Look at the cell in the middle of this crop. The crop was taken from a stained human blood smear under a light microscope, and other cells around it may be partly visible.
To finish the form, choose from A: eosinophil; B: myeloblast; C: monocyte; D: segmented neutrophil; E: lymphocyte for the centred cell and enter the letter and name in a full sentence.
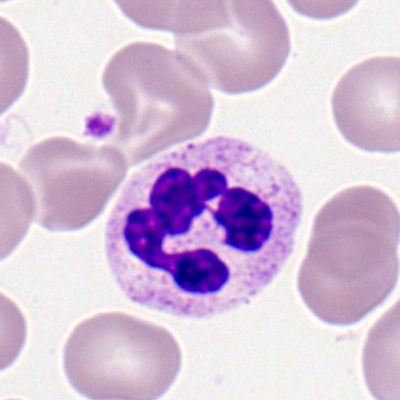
The right choice is option D: the cell in the middle is a segmented neutrophil.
